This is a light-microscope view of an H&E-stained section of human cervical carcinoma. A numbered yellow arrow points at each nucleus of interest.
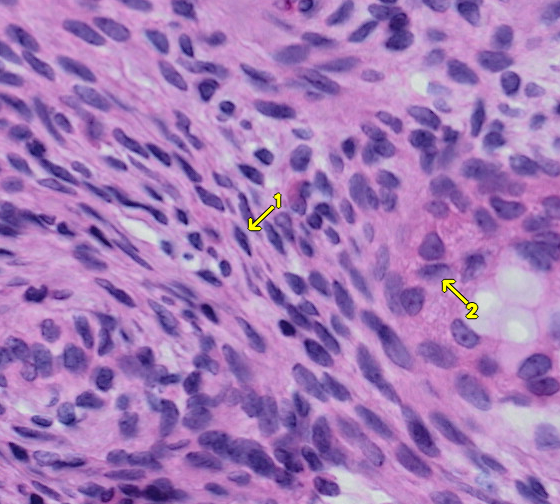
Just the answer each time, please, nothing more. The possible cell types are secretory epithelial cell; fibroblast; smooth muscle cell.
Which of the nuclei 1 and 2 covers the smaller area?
1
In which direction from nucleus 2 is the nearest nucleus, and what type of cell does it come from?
a secretory epithelial cell above nucleus 2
